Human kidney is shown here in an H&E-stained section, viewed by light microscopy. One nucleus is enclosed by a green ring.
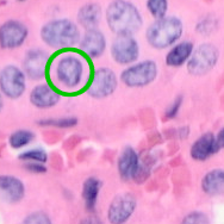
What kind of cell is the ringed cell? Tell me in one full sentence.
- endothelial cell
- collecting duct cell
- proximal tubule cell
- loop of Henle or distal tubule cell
In cell-type terms, the ringed cell is a collecting duct cell.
